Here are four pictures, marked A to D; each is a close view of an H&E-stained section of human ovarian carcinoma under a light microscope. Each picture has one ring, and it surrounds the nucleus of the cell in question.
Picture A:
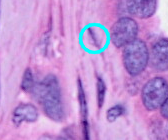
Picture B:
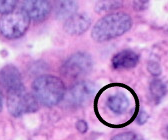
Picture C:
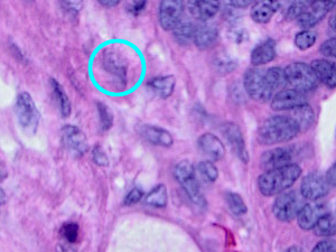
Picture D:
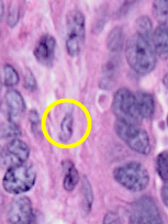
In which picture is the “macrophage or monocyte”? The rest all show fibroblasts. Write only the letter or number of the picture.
B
